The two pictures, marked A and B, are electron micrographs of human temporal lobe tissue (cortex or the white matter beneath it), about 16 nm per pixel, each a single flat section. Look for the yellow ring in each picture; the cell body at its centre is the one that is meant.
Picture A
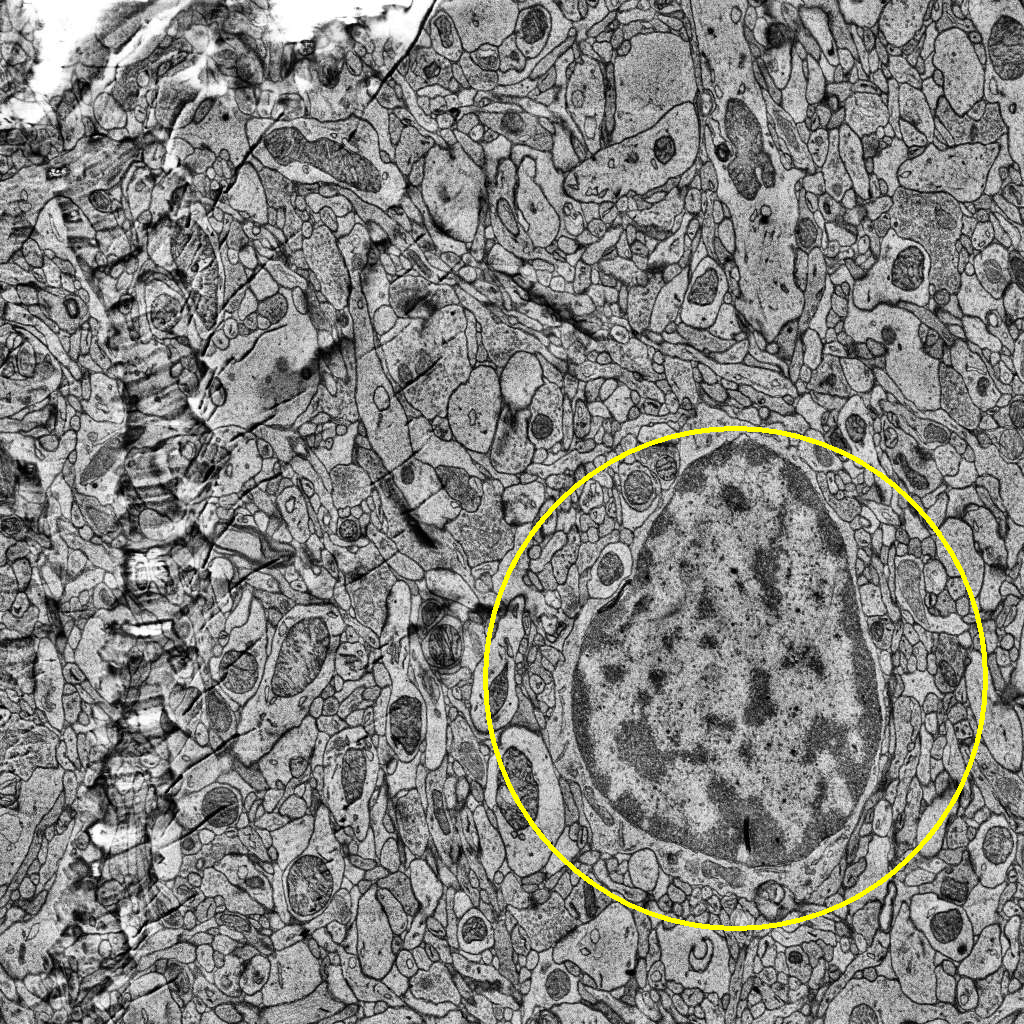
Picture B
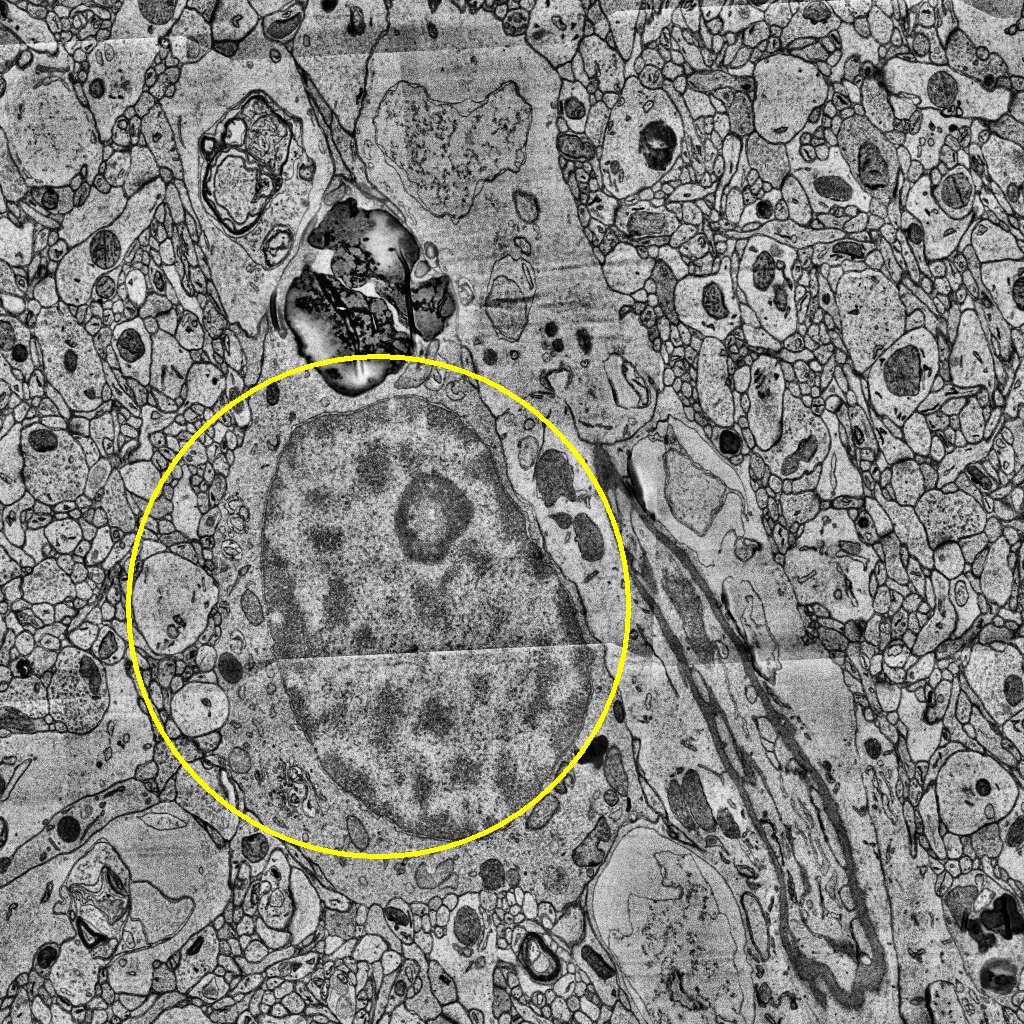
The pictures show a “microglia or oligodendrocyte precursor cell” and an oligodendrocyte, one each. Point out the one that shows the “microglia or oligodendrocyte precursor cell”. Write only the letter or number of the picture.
A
